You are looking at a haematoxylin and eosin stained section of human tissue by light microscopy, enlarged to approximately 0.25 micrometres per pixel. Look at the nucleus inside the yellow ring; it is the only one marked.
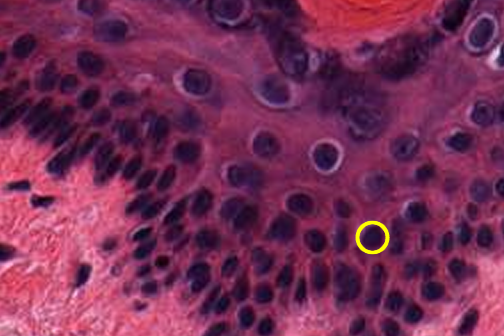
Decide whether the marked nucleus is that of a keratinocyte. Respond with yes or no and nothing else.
yes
